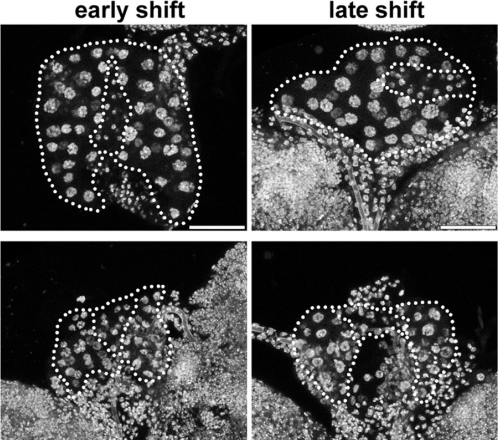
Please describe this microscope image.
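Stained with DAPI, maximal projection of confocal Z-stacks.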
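Ring glands in four views, with the nuclei shown in grey. Each gland lobe holds scattered large, round nuclei spaced apart, and white dotted lines trace the outline of the gland. In the upper two views the lobes are broad and their nuclei are large and bright. In the lower two views the lobes are smaller and their nuclei are visibly smaller. Around the gland lies tissue crowded with many small, tightly packed nuclei.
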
